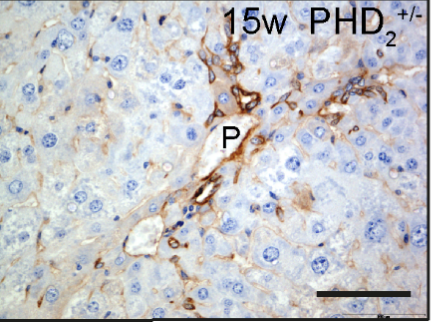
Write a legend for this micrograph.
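Liver tissue with plates of large polygonal hepatocytes with round blue nuclei surrounds an open vessel in a portal area. Along the vessel and branching out from it lie small, elongated cells with dark brown staining, forming thin cords and small clusters. The hepatocytes themselves are mostly unstained, with only faint brown lines at their borders. These are brown-stained small cells in the portal area beside the portal vein.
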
